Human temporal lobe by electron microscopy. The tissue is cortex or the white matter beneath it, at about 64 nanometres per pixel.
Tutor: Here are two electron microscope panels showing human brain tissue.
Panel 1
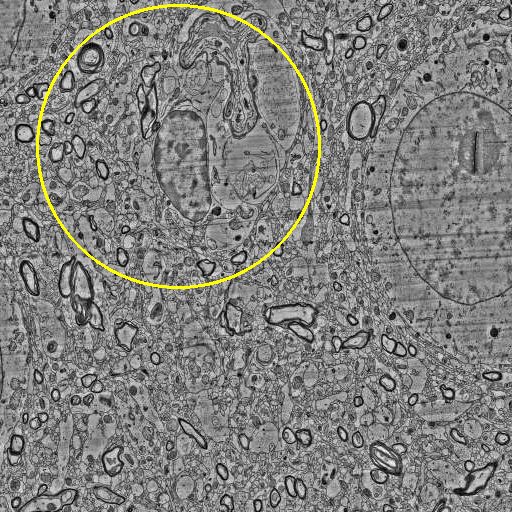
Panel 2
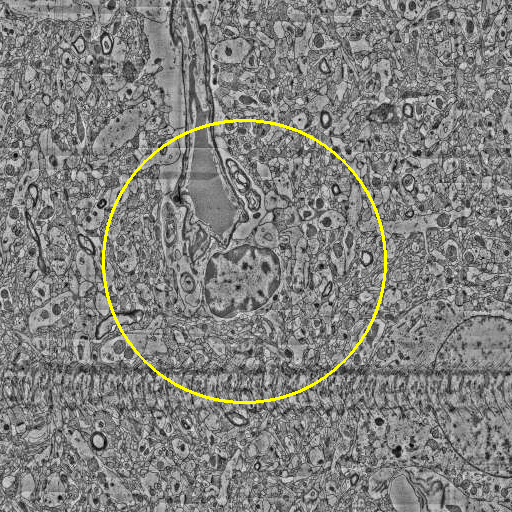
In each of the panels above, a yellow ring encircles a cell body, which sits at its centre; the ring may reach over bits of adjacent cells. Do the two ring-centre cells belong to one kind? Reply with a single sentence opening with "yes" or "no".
Yes, the two cells sitting at the ring centres in the panels belong to one kind.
